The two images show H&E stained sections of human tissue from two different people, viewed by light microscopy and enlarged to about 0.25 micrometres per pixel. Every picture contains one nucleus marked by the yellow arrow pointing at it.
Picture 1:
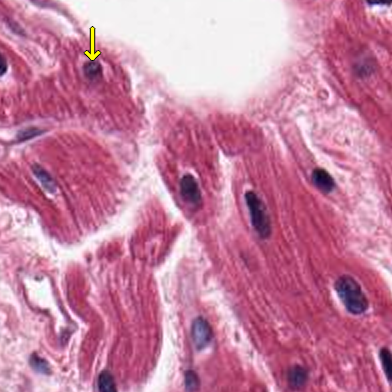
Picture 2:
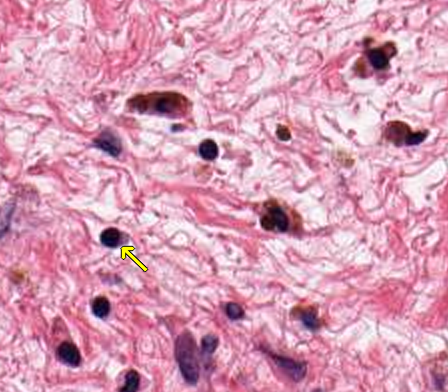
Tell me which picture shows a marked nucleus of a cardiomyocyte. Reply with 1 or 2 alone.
1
